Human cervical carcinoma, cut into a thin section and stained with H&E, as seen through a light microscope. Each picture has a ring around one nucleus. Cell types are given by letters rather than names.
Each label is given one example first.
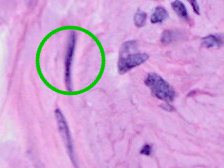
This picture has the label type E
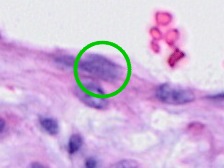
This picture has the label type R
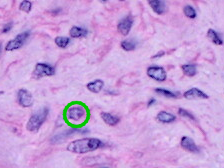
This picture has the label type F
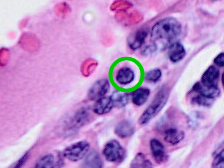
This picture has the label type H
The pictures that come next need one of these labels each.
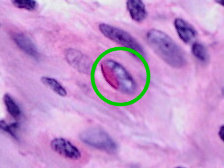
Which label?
type R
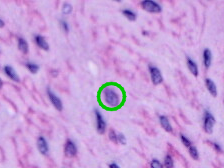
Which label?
type F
